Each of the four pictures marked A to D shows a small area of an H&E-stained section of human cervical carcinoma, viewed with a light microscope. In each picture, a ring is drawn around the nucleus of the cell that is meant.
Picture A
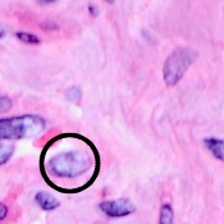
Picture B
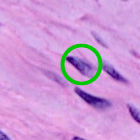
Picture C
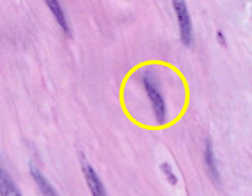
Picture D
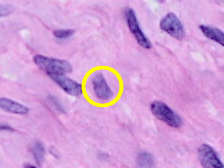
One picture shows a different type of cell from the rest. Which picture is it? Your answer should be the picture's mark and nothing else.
A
